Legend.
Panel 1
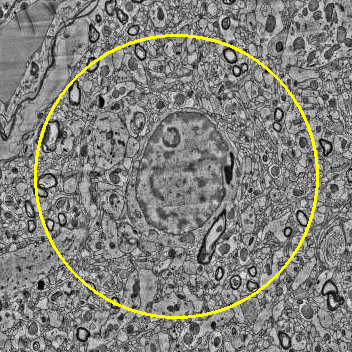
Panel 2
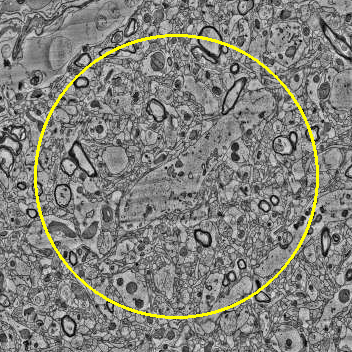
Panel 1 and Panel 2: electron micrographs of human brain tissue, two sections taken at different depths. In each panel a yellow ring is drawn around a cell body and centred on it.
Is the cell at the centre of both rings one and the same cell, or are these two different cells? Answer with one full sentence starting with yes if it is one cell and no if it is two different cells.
Yes, the first and second rings frame the same single cell.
